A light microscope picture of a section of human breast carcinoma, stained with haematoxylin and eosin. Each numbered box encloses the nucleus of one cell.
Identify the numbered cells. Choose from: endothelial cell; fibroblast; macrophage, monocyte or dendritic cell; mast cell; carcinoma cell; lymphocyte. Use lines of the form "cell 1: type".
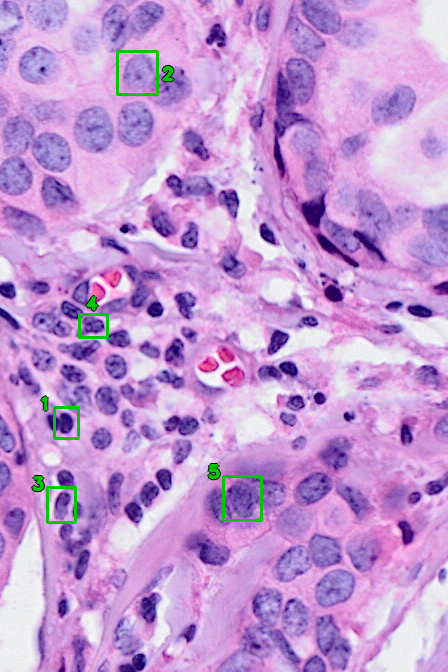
cell 1: lymphocyte
cell 2: carcinoma cell
cell 3: lymphocyte
cell 4: lymphocyte
cell 5: carcinoma cell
